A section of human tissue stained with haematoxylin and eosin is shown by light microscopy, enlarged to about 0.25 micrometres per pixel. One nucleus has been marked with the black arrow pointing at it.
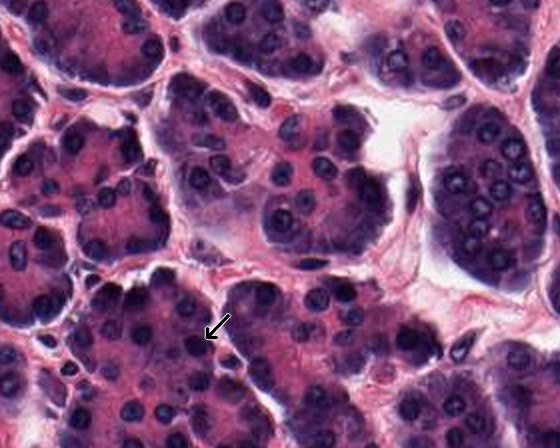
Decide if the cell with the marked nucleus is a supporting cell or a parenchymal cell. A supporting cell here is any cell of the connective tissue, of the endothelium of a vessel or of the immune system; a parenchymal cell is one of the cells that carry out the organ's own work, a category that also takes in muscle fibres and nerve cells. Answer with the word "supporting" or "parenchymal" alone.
parenchymal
